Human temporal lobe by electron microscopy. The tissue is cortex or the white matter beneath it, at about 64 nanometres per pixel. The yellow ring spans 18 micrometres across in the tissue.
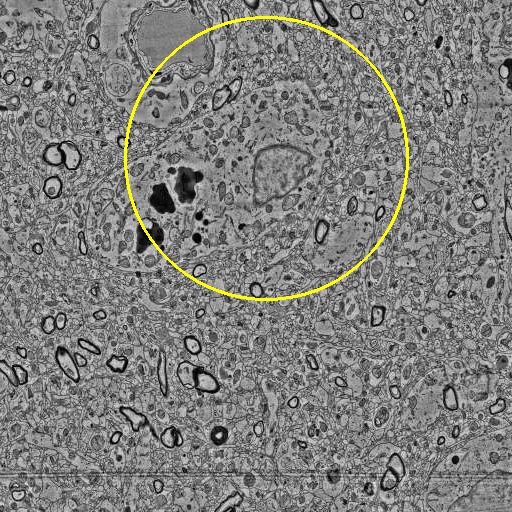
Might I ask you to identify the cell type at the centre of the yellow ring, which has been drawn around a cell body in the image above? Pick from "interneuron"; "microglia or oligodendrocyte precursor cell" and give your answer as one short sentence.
The centre of the ring falls on an interneuron.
